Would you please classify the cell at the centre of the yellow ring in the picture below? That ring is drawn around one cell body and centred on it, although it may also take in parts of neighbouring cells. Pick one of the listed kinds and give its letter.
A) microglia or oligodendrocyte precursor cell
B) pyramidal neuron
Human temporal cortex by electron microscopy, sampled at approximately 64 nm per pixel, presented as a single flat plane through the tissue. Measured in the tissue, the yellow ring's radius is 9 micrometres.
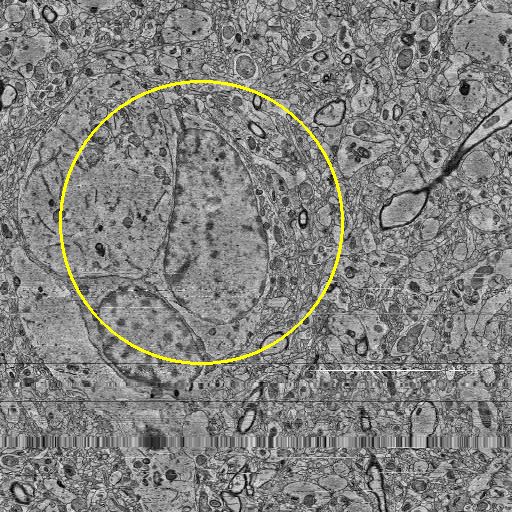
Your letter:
A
